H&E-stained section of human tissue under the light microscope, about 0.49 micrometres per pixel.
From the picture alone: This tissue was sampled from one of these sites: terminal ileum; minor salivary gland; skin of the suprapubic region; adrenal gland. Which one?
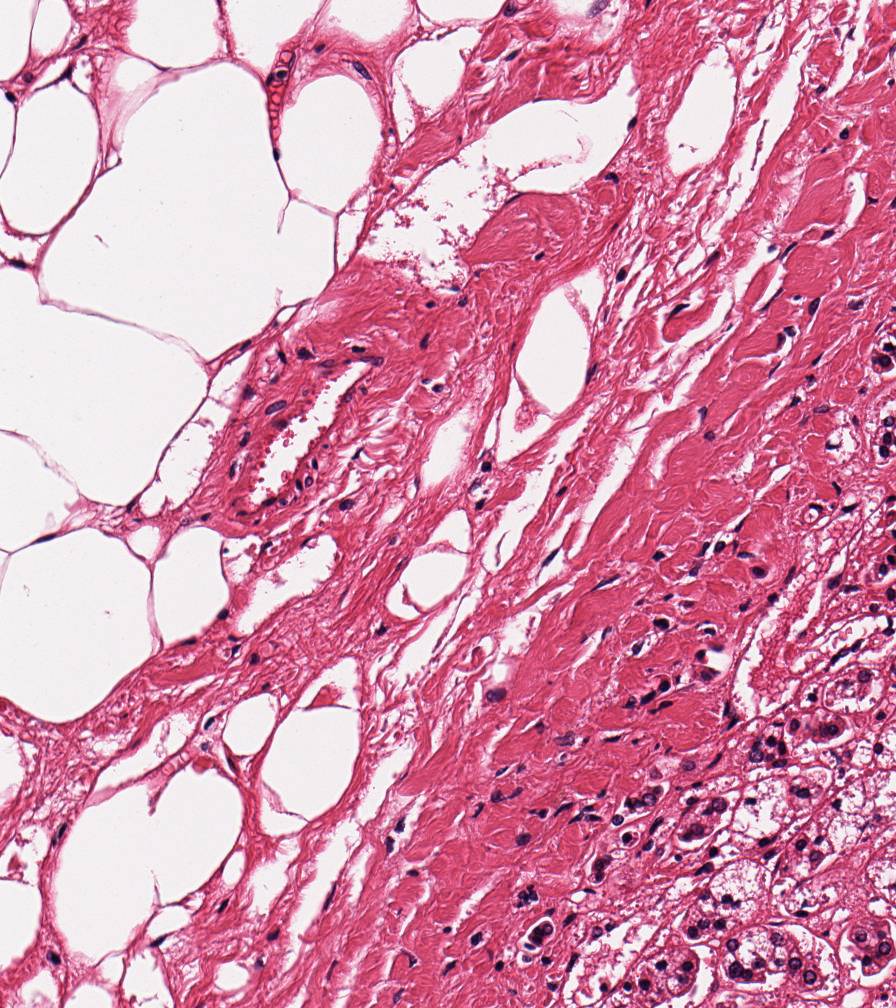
adrenal gland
